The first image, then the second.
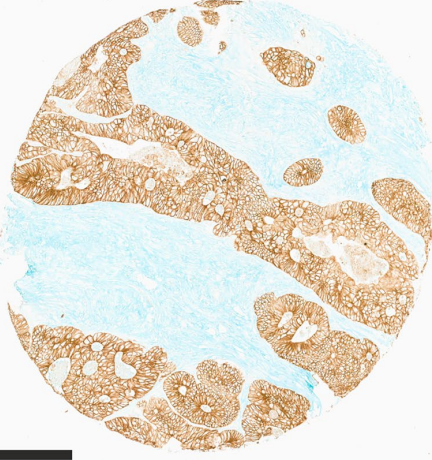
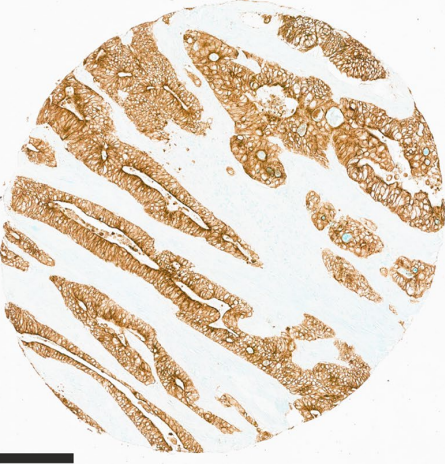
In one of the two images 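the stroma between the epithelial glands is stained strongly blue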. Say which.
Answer: The first image.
